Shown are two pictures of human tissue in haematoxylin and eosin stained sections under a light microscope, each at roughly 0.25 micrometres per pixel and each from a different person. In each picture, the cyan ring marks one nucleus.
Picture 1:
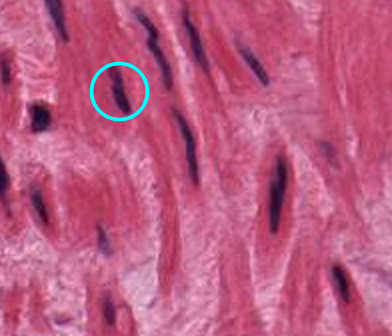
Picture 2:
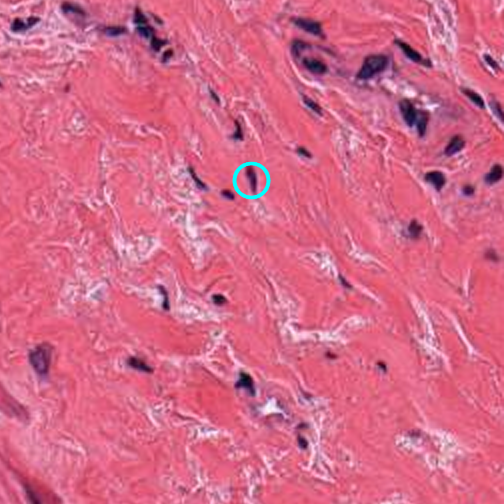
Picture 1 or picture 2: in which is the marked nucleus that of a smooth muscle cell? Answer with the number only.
1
